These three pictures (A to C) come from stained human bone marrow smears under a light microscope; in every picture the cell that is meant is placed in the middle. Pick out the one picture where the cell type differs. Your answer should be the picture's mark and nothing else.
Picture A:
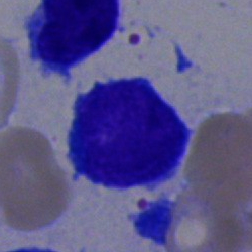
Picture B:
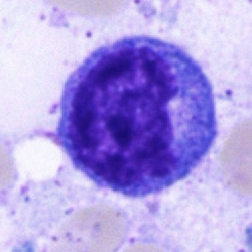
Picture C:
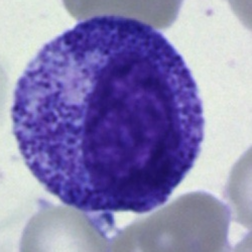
A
